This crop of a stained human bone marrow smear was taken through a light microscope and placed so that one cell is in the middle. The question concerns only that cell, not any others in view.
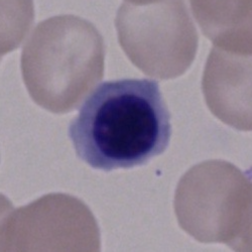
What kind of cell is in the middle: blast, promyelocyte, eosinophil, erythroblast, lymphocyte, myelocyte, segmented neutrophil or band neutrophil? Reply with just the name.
erythroblast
